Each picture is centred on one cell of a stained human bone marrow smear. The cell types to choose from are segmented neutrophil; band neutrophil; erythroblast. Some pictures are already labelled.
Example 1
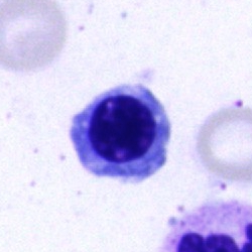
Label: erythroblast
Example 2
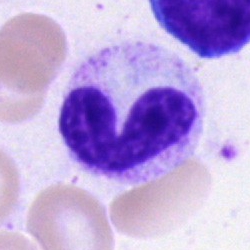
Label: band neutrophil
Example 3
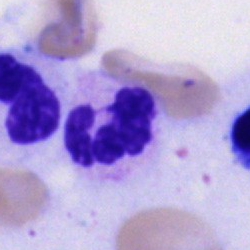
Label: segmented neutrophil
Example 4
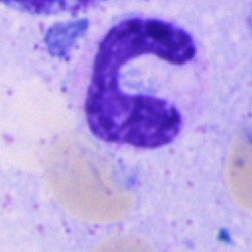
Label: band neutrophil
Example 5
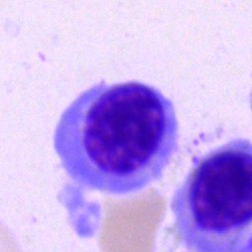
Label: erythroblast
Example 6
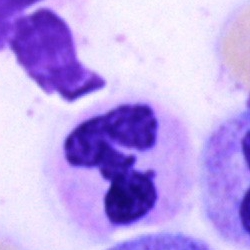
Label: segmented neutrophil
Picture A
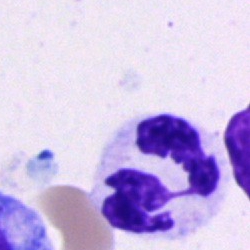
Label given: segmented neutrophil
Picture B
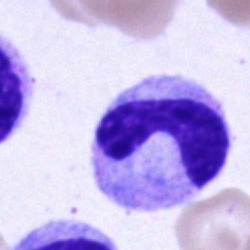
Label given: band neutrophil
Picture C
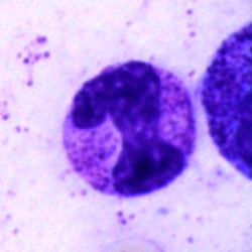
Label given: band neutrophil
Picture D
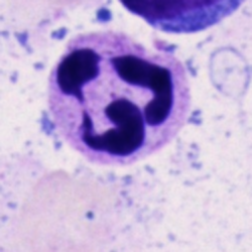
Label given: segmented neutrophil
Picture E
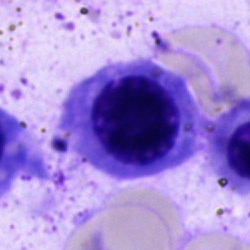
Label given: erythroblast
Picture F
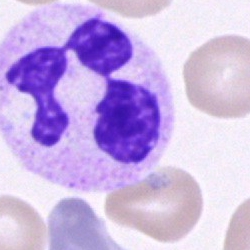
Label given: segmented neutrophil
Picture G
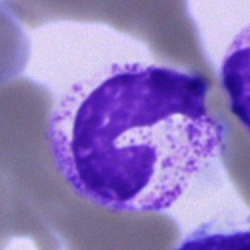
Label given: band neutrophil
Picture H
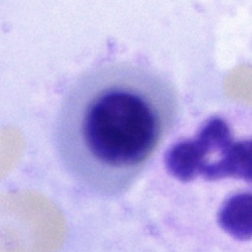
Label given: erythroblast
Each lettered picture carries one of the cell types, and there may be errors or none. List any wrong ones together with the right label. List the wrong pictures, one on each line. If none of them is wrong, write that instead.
None of the labels needs changing.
